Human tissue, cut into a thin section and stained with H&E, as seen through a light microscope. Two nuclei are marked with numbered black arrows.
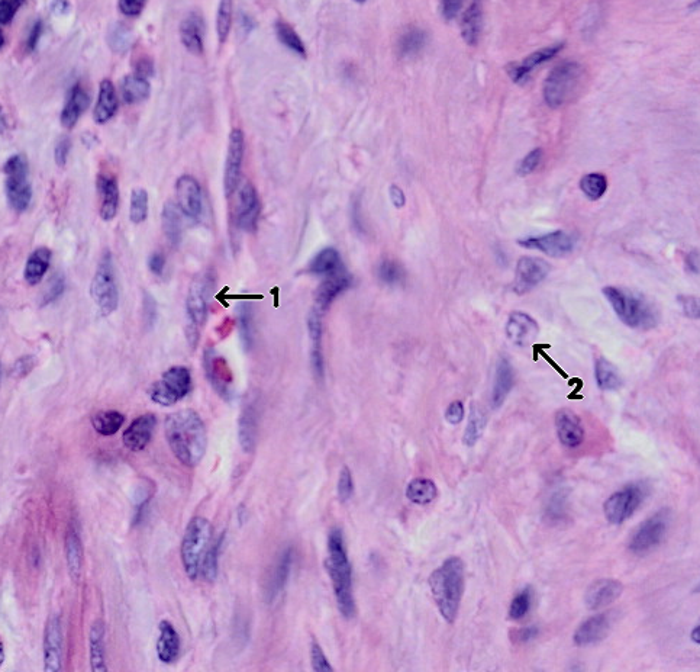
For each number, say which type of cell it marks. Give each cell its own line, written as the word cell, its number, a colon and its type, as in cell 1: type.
cell 1: endothelial cell
cell 2: macrophage or monocyte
